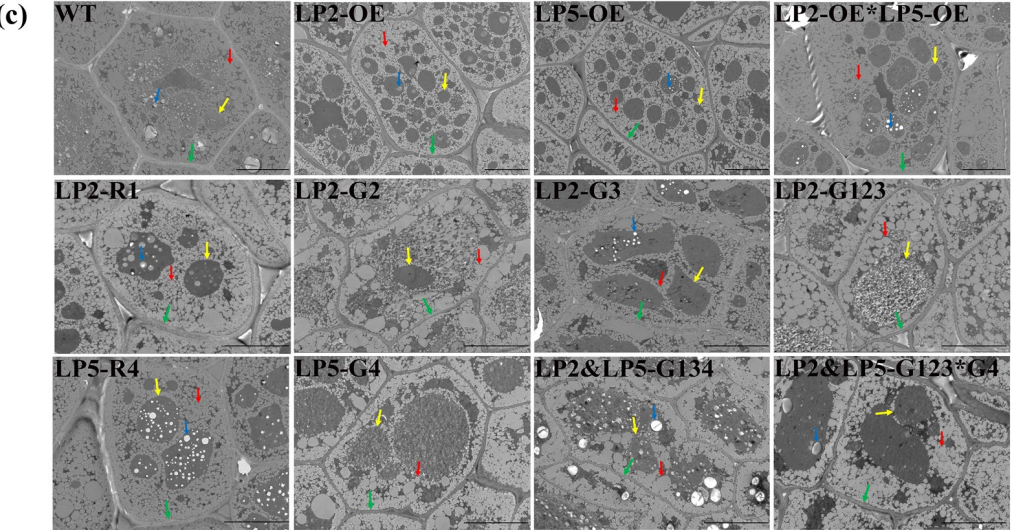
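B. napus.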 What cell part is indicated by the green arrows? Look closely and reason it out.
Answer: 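The green arrows touch the thin, even boundaries running between neighbouring cells. These boundaries outline polygonal compartments across each image. So: cell wall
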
